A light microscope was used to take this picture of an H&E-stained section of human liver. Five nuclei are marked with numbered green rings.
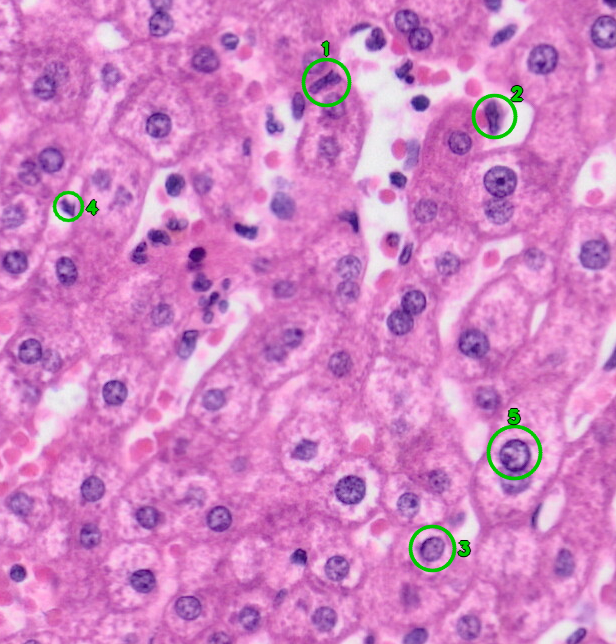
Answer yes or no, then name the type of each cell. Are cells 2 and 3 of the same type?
No, cell 2 here is a Kupffer cell, and cell 3 here is a hepatocyte.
